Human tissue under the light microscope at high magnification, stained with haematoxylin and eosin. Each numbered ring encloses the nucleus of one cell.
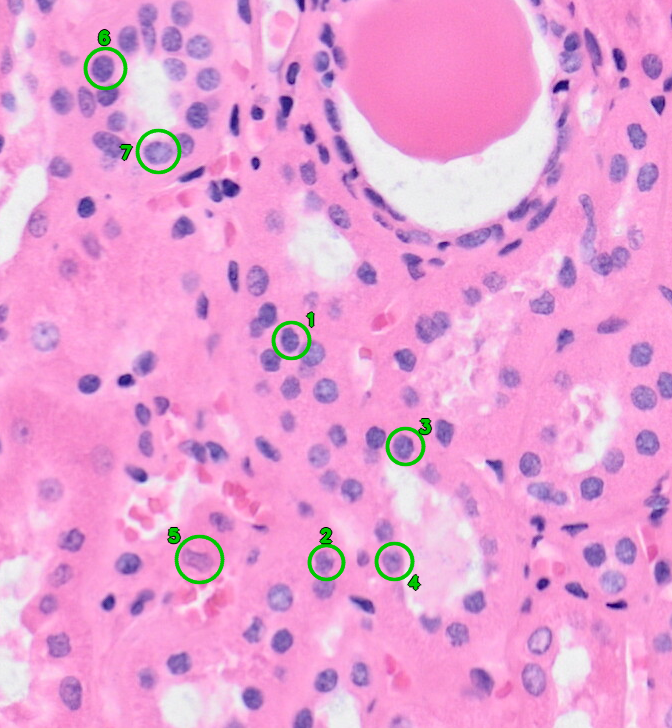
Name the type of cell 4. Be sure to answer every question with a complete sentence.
As for number 4, that cell is a loop of Henle or distal tubule cell.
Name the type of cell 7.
In the tissue shown, cell 7 is a collecting duct cell.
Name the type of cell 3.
At number 3, the marked cell is a loop of Henle or distal tubule cell.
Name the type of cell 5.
The correct label for cell 5 is a proximal tubule cell.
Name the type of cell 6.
The nucleus labeled 6 belongs to a collecting duct cell.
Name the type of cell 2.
The cell indicated with the number 2 is classed as a loop of Henle or distal tubule cell.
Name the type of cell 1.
Cell number 1 in this section is a loop of Henle or distal tubule cell.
